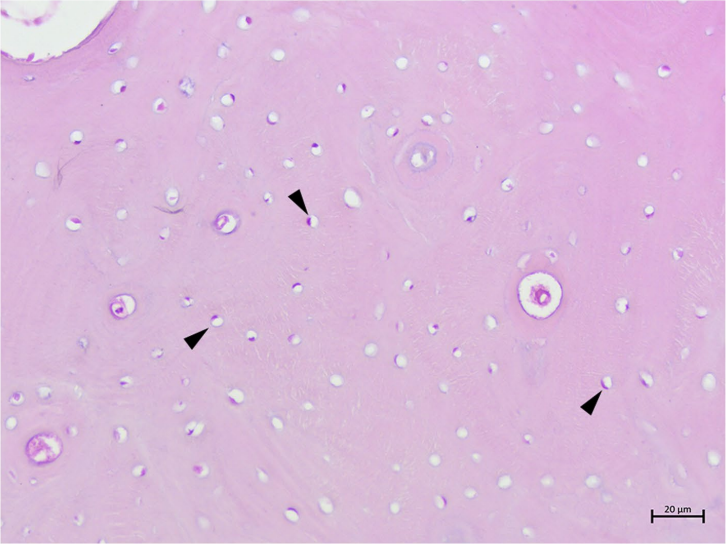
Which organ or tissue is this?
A: Bone tissue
